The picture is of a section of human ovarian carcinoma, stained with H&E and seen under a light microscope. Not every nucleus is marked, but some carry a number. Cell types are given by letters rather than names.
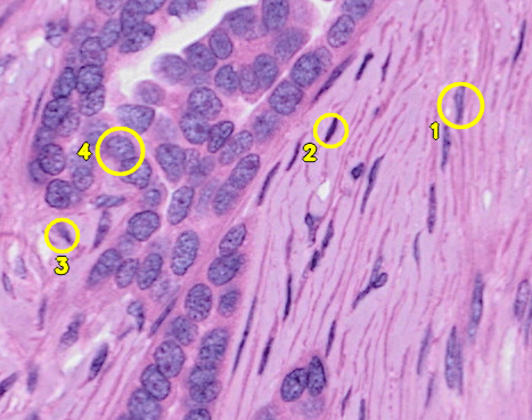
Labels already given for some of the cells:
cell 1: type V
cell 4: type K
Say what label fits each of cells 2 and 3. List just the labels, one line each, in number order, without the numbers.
type V
type V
